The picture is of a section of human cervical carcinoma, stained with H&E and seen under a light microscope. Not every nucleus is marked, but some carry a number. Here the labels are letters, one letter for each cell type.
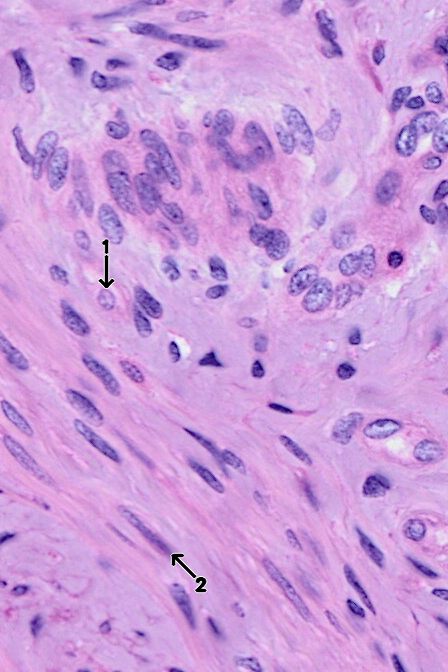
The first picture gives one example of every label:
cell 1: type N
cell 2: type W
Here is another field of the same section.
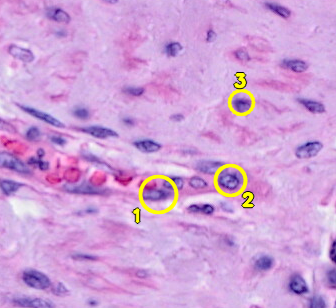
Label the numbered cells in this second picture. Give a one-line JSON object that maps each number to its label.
{"1": "type N", "2": "type N", "3": "type W"}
